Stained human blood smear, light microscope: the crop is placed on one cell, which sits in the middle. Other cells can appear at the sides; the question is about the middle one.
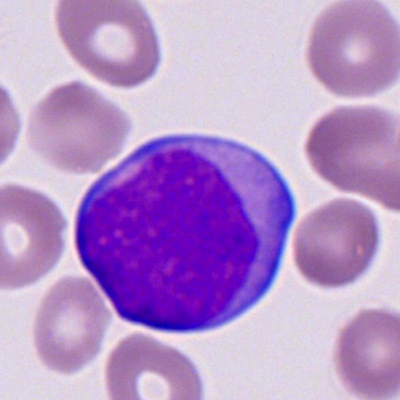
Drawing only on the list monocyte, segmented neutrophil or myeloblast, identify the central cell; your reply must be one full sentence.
This crop's central cell is a myeloblast.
